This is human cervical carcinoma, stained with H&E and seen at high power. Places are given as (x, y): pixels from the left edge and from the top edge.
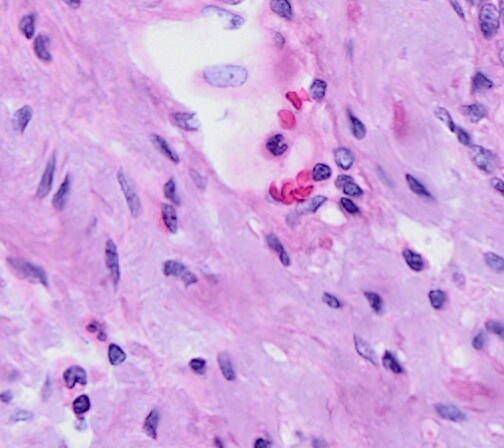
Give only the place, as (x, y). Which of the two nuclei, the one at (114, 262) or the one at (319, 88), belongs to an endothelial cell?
(319, 88)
